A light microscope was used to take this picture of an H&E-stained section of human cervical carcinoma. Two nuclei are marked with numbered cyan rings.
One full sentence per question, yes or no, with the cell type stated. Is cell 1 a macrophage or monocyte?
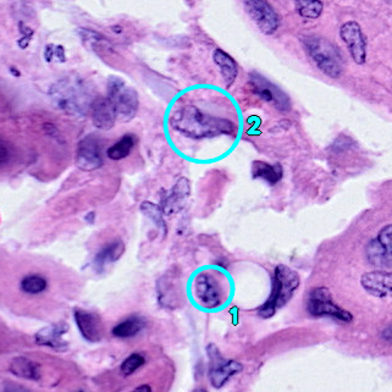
Yes, the cell at number 1 is a macrophage or monocyte.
